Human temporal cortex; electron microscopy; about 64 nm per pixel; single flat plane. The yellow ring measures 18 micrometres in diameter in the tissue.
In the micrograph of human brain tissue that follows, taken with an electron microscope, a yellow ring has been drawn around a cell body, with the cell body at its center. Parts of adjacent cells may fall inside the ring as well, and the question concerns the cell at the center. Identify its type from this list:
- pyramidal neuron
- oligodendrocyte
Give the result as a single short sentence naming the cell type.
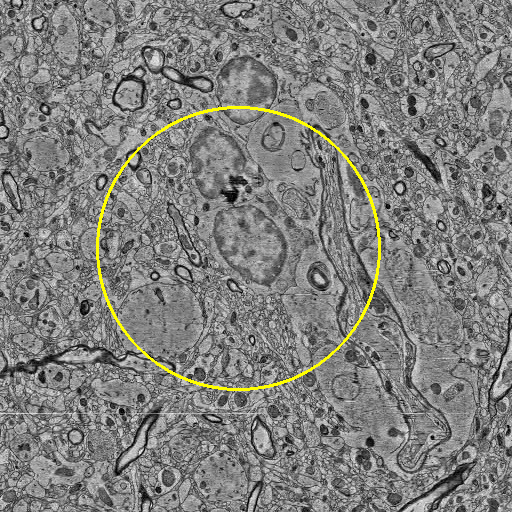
The ring is centered on an oligodendrocyte.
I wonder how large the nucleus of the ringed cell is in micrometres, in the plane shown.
The nucleus comes to roughly 6 by 4 micrometres in this plane.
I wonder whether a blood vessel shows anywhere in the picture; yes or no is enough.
Yes, a blood vessel is present in this picture.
